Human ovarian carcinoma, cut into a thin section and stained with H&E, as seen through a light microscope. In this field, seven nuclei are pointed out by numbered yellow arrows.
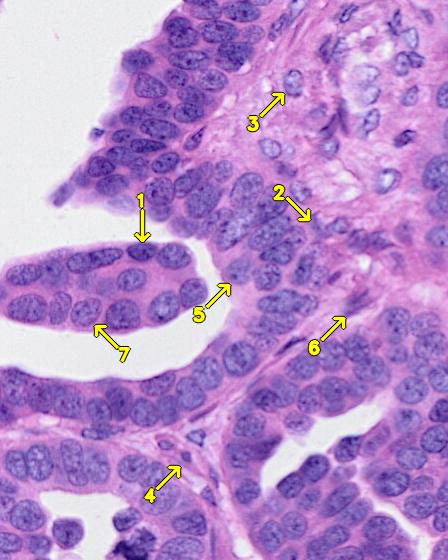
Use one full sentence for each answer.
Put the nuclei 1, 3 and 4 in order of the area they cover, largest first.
The nuclei rank 1, 3, 4, from largest to smallest.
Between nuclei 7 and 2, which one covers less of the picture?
It is nucleus 2; nucleus 7 has about 2 times its area.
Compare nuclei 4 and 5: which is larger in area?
Of the two, number 5 is bigger and takes up about 4 times the area of number 4.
